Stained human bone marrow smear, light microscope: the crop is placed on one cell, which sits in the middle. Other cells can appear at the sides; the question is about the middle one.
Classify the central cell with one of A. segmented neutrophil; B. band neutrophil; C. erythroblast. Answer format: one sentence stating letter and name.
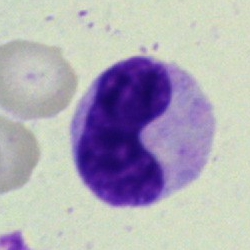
Option B is correct here, and the cell in the middle is a band neutrophil.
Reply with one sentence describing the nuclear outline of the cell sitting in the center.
One compact mass makes up the whole nucleus, round, oval or kidney-shaped.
